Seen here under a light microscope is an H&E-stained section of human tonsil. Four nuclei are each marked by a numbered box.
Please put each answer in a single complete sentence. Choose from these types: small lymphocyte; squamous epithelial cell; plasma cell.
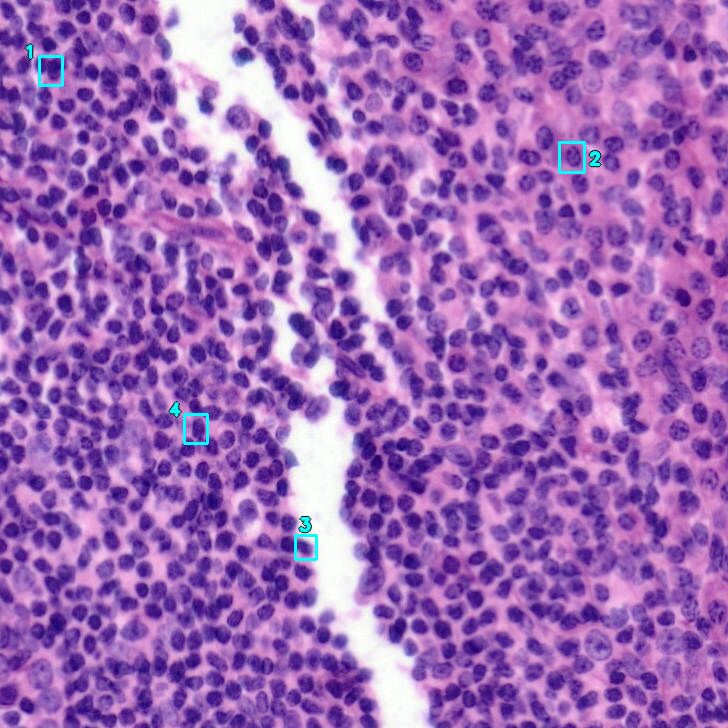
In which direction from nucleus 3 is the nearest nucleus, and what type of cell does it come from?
A small lymphocyte lies closest, to the left of nucleus 3.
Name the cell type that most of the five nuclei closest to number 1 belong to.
Of the five nuclei nearest to number 1, most belong to small lymphocytes.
